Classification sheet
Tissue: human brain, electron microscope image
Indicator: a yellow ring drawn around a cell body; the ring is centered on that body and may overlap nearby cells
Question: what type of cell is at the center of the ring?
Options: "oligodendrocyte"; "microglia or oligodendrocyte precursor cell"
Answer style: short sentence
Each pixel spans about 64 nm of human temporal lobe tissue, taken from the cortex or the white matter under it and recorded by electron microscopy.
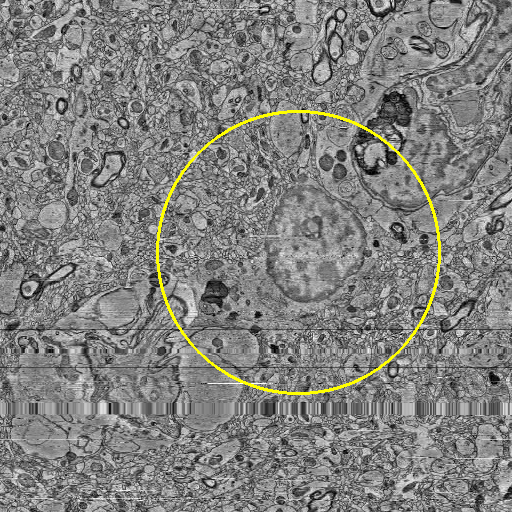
At the ring's center is an oligodendrocyte.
